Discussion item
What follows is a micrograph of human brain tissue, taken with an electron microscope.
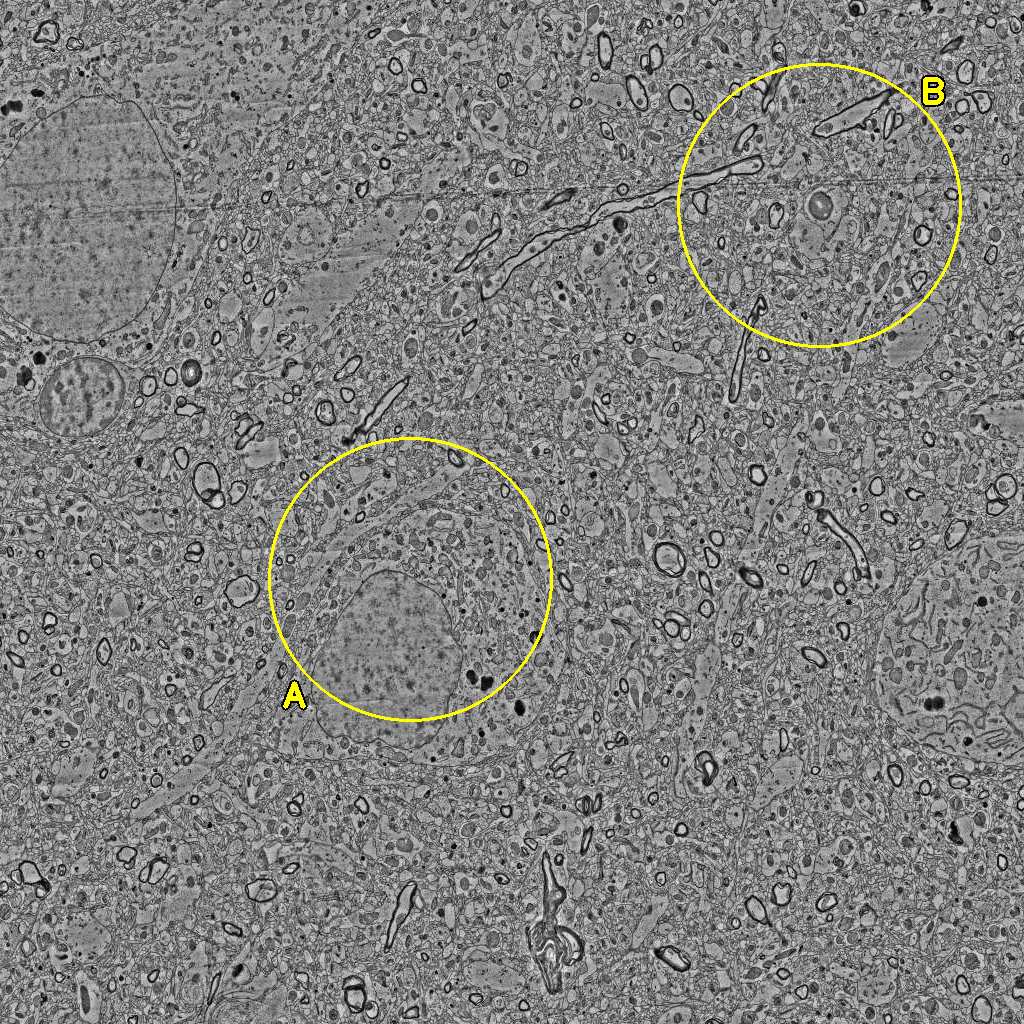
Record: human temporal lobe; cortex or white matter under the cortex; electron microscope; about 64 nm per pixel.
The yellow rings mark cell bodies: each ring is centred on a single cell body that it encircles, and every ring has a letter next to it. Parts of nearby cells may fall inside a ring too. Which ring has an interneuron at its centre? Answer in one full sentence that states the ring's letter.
Ring A is the ring whose centre falls on the cell the question asks about.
